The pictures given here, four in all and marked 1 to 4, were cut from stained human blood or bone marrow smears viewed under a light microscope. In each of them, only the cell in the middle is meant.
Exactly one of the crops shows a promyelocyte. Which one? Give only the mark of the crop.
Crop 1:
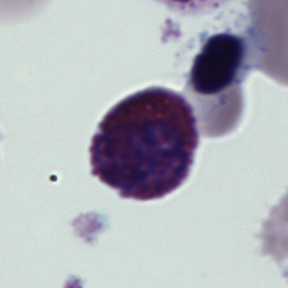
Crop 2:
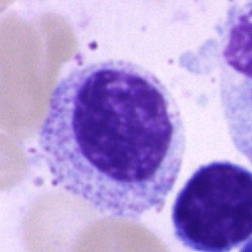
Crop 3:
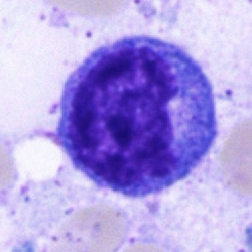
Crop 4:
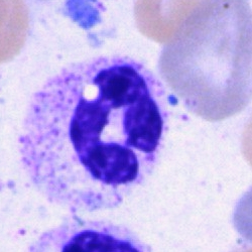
3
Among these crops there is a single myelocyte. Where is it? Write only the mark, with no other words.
2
